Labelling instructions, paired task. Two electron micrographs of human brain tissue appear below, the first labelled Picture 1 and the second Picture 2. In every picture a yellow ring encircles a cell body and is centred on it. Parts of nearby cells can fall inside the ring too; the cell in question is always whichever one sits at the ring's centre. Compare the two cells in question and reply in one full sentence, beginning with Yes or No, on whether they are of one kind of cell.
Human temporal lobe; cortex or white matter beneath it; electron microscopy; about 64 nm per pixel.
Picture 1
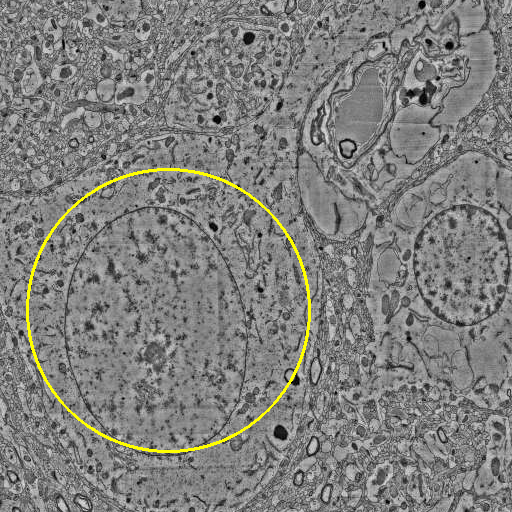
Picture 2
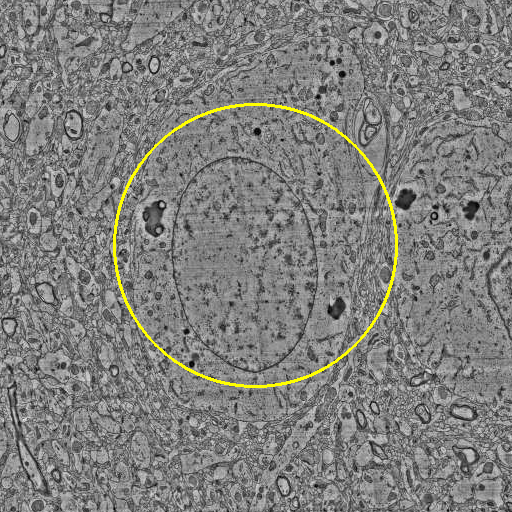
Yes, the two cells at the ring centres in Picture 1 and Picture 2 are of one kind.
